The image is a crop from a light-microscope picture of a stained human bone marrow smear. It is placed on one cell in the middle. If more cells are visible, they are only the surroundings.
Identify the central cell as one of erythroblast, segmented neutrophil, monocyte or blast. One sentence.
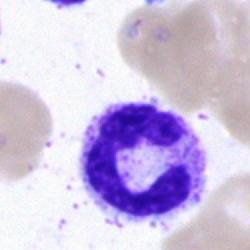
At the center of the crop sits a segmented neutrophil.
